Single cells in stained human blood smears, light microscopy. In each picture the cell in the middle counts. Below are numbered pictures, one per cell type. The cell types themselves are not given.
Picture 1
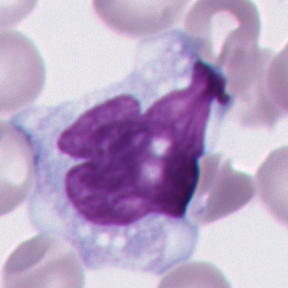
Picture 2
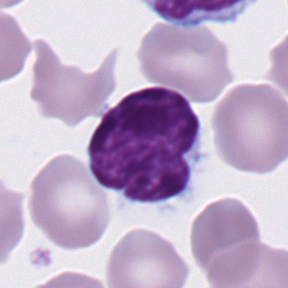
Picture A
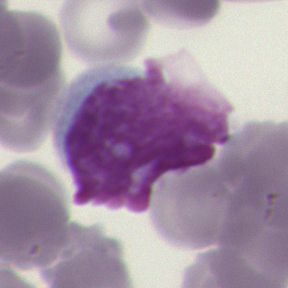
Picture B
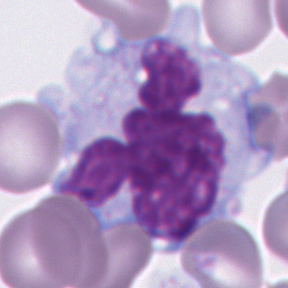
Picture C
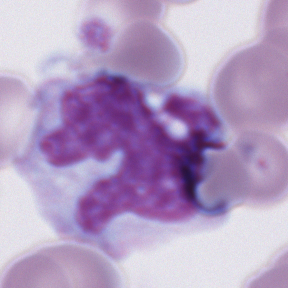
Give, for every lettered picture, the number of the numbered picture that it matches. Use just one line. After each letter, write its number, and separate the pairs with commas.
A 2, B 1, C 1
